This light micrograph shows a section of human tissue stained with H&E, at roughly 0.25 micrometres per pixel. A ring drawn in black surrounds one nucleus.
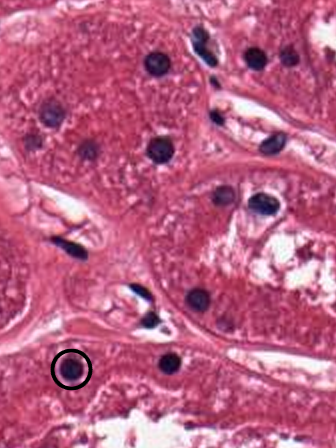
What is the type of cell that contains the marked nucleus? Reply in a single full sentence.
The nucleus with the mark belongs to a proximal tubule cell.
